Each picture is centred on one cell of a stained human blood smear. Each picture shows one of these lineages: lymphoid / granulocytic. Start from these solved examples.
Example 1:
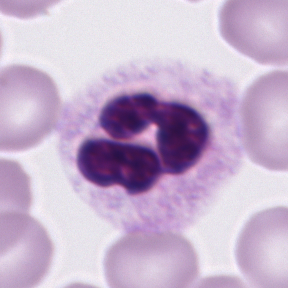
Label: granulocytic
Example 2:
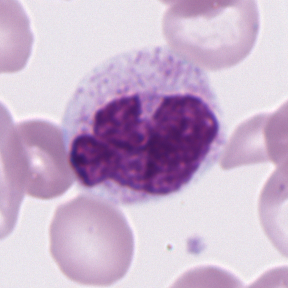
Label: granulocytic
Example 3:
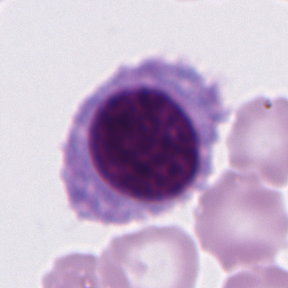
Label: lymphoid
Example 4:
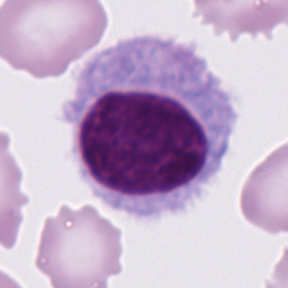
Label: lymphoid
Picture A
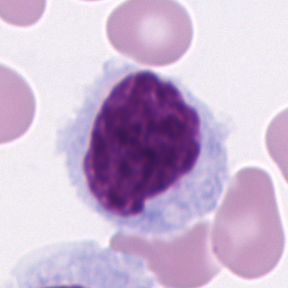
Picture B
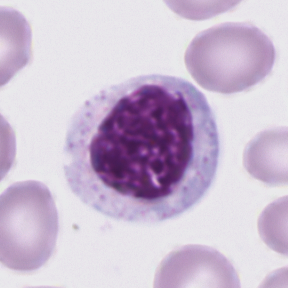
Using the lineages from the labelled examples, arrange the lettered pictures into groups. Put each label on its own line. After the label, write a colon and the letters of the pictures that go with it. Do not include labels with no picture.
lymphoid: A
granulocytic: B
